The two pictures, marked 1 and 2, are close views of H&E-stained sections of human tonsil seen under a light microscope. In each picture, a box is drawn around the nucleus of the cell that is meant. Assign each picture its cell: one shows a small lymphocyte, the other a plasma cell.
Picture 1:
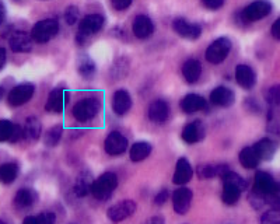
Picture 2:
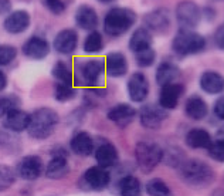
1: plasma cell
2: small lymphocyte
